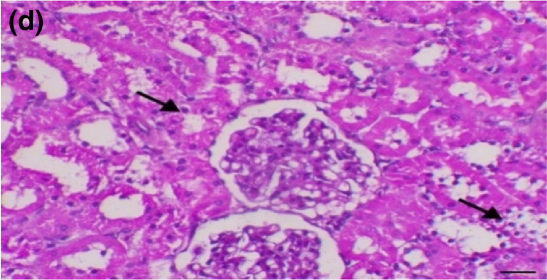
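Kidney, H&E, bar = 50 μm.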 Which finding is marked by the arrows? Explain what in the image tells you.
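Clear bubbles lie within the tubular lining cells. Several tubules look pale and vacuolated. So: vacuolation of tubular epithelium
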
